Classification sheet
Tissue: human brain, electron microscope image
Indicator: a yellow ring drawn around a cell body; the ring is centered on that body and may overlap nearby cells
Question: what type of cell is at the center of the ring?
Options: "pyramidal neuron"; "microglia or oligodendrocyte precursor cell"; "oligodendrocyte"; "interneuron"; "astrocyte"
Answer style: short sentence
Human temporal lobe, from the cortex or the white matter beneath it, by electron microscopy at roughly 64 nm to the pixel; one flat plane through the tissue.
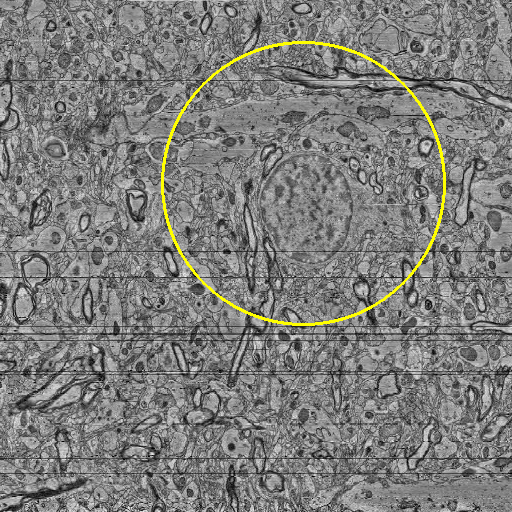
At the ring's center is an oligodendrocyte.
